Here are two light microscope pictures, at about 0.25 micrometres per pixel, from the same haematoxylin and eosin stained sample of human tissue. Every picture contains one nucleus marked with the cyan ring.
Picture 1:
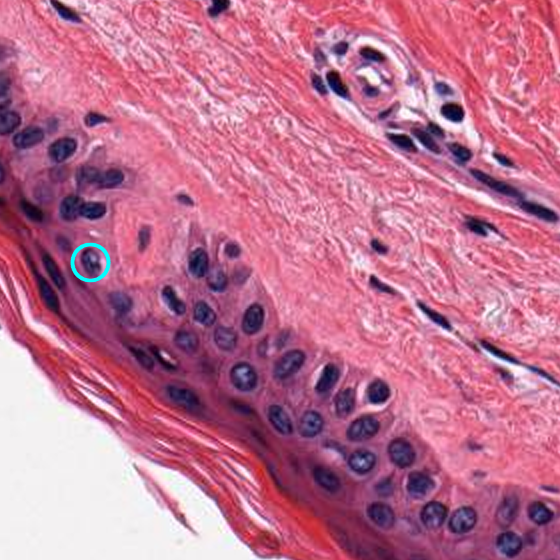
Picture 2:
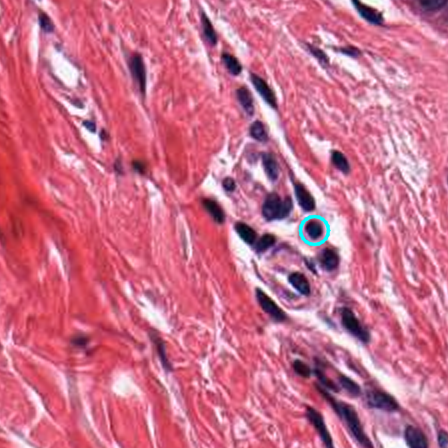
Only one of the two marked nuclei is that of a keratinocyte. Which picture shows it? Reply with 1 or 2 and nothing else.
1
